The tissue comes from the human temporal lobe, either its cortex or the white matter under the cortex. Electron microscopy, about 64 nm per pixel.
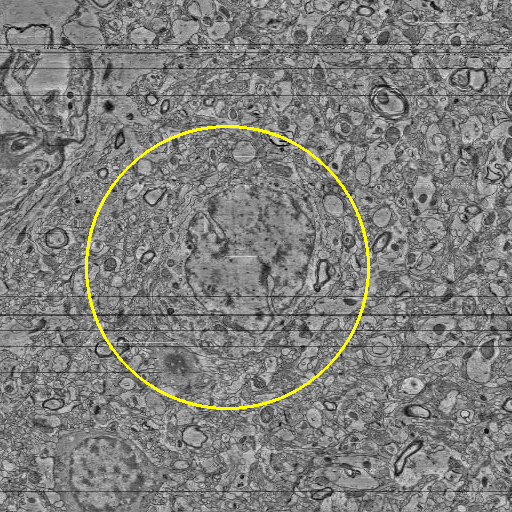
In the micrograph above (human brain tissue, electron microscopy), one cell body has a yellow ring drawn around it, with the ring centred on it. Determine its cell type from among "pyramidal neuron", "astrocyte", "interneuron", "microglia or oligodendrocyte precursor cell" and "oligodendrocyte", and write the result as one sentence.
The cell whose body is ringed is an interneuron.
